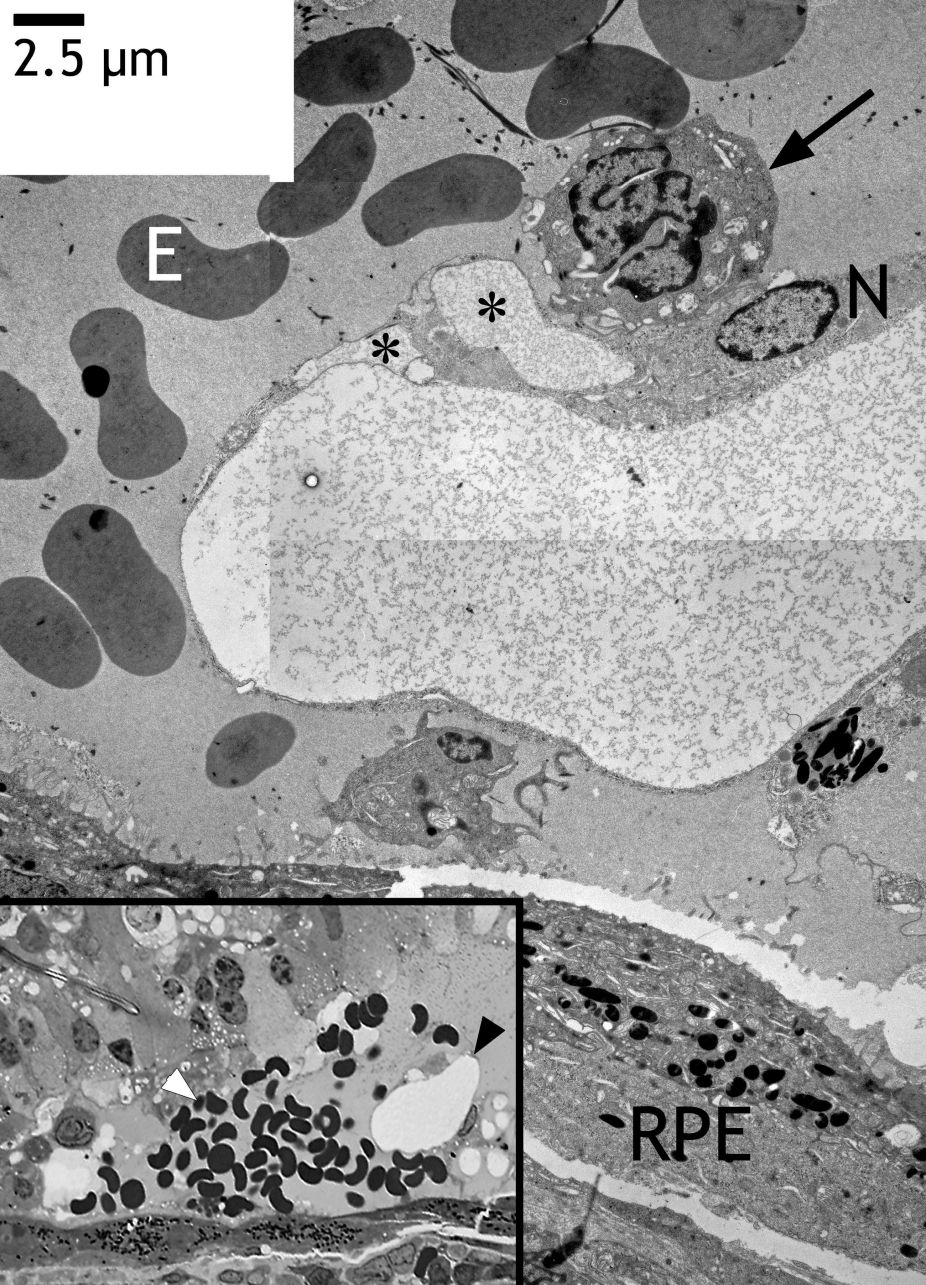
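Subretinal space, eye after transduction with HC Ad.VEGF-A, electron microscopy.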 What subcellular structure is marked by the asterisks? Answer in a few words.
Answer: Vacuoles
